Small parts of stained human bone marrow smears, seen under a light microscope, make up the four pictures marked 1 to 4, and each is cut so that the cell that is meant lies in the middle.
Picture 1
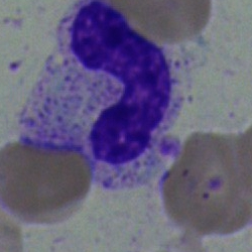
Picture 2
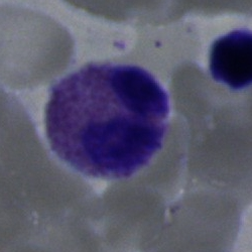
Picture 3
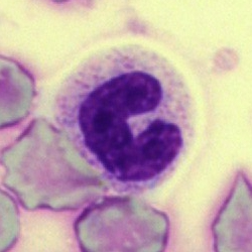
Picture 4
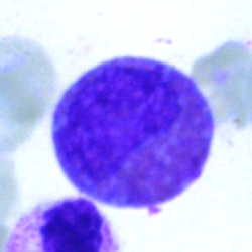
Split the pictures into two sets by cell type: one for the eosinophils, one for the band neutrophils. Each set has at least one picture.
1: band neutrophil
2: eosinophil
3: band neutrophil
4: eosinophil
